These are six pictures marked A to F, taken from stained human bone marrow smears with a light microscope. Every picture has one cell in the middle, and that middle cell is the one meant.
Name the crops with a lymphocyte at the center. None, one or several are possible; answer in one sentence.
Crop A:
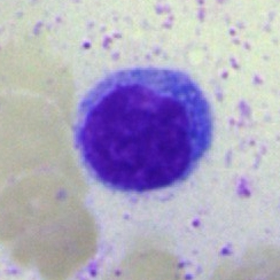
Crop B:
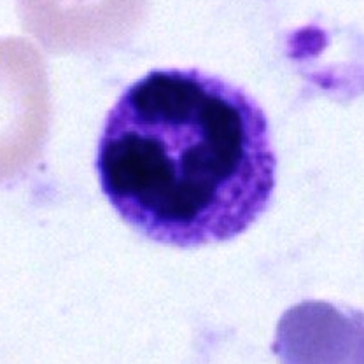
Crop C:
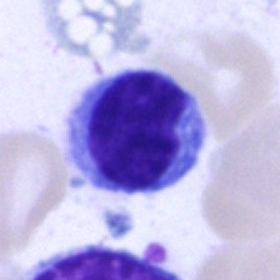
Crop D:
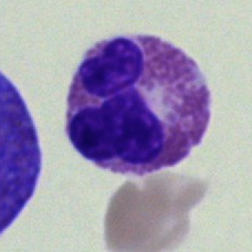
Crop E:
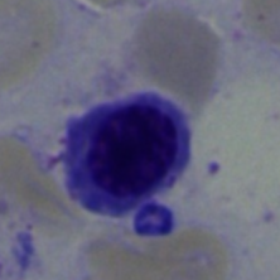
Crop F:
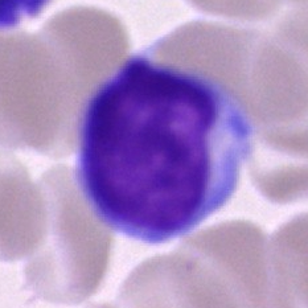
On review, crops A, C and F show lymphocytes.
